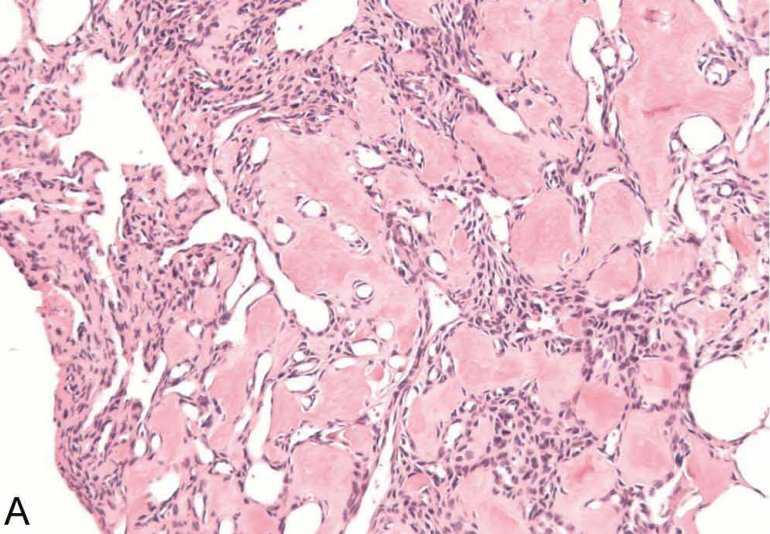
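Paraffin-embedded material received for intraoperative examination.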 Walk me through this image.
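This is a bone-forming lesion in which broad, irregular trabeculae of homogeneous pale pink osteoid dominate the field. Between them lie denser areas of spindle-shaped to elongated mesenchymal cells with dark, elongated nuclei, arranged in streams. Numerous empty rounded and slit-like blood vessels are interspersed between the matrix and the cells.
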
